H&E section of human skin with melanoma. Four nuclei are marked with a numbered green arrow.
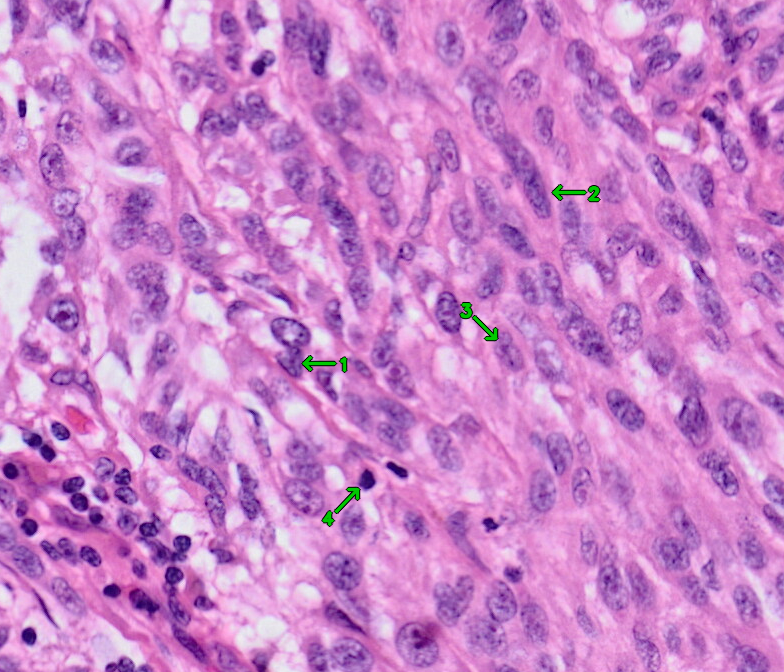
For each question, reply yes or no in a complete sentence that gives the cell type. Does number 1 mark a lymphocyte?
No, it's not a lymphocyte at number 1; that cell is a melanoma cell.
